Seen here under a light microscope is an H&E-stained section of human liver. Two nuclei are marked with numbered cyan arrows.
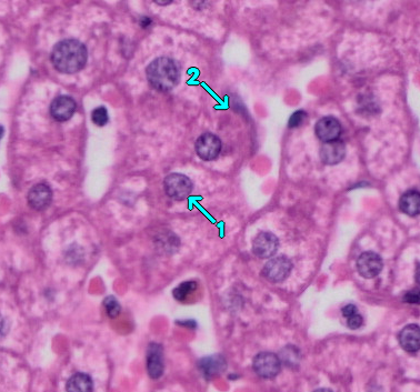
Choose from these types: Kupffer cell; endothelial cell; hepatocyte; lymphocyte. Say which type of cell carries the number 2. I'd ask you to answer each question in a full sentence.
Here the cell numbered 2 is a Kupffer cell.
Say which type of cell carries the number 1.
Identified as a hepatocyte is the cell bearing the number 1.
